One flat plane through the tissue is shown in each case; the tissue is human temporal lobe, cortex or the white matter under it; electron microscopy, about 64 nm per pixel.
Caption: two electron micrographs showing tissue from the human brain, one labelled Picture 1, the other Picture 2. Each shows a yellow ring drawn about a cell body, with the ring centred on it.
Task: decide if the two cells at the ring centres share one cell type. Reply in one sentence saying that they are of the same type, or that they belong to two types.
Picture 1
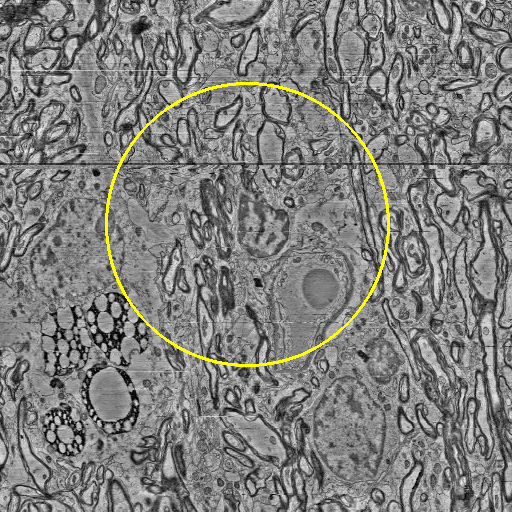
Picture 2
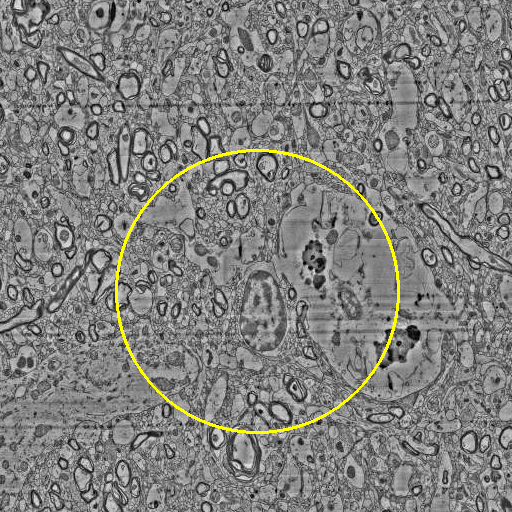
The cells at the ring centres in Picture 1 and Picture 2 are of the same type.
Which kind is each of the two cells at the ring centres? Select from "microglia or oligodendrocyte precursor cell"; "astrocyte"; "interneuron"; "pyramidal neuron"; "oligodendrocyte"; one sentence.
Each of the two rings is centred on a microglial cell or oligodendrocyte precursor cell.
